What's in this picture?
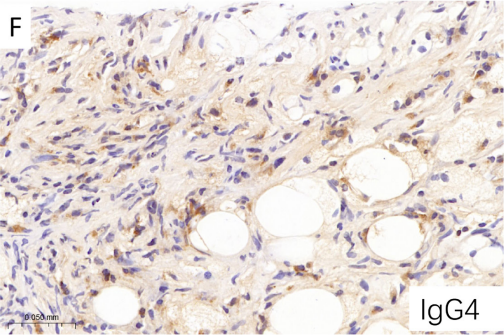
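Fibrous stroma around fat, at high magnification: round and oval empty vacuoles of fat cells lie in a loose pale tan background that holds many elongated and oval blue nuclei of spindle-shaped stromal cells. Among them, scattered single cells stand out with brown-stained cytoplasm, some clustered near the edges of the fat vacuoles, others lying alone in the stroma. Most nuclei remain unstained. This is scattered infiltration of plasma cells within fibrotic tissue surrounding fat, with inflammation close around the fat cells.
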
